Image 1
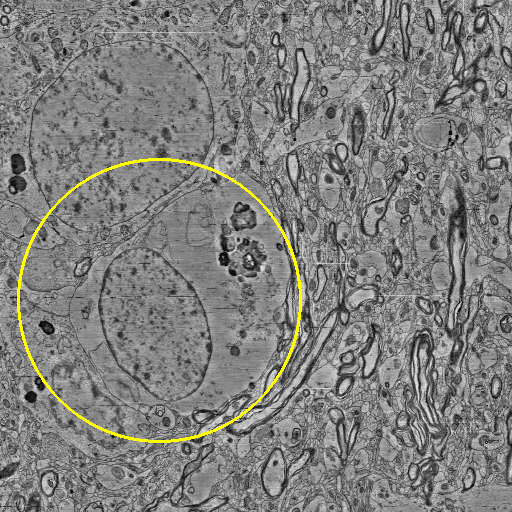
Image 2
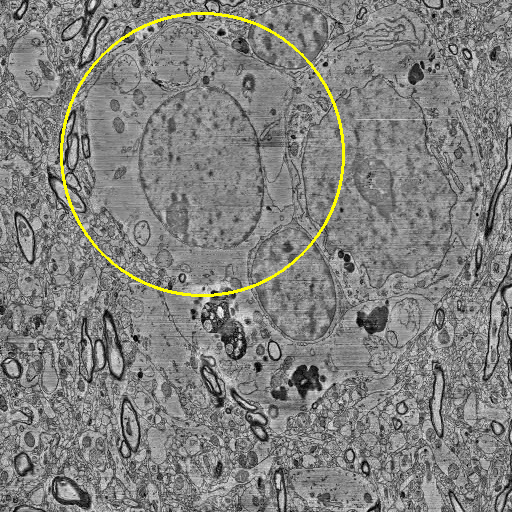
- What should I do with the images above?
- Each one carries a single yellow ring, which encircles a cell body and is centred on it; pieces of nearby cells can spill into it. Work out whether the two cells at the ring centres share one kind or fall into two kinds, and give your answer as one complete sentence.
The ring-centre cells of Image 1 and Image 2 share one kind.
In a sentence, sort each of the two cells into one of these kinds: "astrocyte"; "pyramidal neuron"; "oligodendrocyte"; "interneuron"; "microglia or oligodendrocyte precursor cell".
Each one of the two ringed cells is an astrocyte.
